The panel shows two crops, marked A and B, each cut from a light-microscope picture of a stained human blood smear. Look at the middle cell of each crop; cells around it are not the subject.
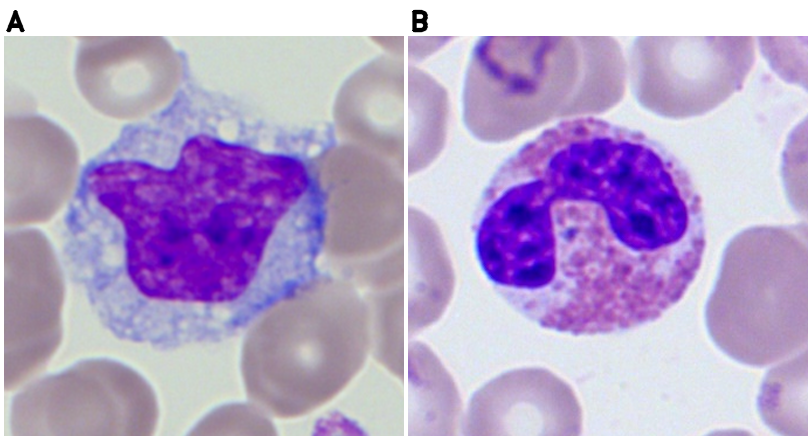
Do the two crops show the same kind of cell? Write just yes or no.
no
